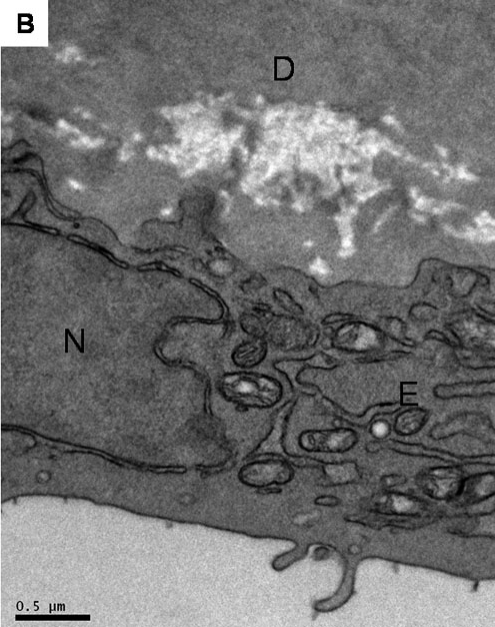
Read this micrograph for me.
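At higher magnification, a corneal endothelial cell is seen adherent to the overlying Descemet’s membrane. Part of a large, elongated nucleus bounded by a double membrane occupies the left side of the cell. The cytoplasm contains numerous well-preserved mitochondria with visible cristae, along with membrane profiles of endoplasmic reticulum. The free cell surface below is fairly regular and shows a few small projections.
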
